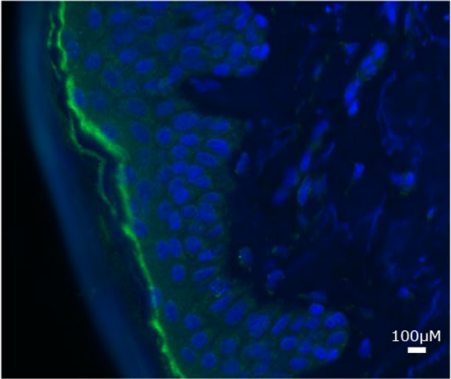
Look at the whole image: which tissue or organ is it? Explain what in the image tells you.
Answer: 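A multilayered sheet of closely packed nuclei lies beneath a thin bright green surface line. Below the sheet lies looser tissue with scattered elongated nuclei. The lower border of the sheet undulates into the underlying tissue. The answer: epidermis.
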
